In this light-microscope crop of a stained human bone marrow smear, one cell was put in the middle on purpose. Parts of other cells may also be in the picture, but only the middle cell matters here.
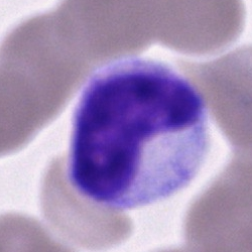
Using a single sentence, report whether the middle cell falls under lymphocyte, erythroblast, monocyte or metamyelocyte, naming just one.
The central cell, amid any neighbouring cells, is a metamyelocyte.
